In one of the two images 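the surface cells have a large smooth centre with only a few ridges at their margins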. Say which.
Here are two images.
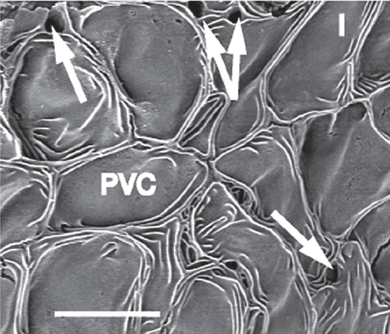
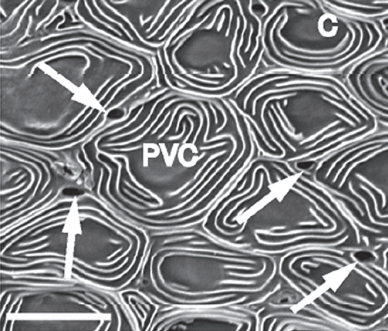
The first image.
